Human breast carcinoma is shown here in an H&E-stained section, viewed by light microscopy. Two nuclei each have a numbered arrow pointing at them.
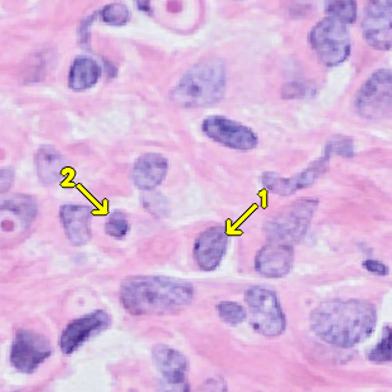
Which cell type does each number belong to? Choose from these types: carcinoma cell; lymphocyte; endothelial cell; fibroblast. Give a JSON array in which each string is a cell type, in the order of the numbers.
["carcinoma cell", "lymphocyte"]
